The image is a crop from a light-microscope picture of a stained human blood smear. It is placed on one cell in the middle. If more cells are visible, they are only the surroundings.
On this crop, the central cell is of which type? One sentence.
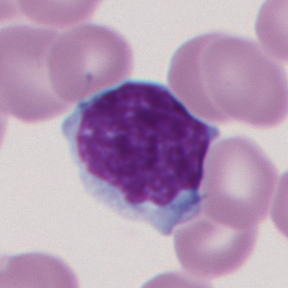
The target cell in the middle of the crop is a typical lymphocyte.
